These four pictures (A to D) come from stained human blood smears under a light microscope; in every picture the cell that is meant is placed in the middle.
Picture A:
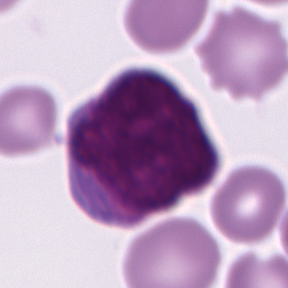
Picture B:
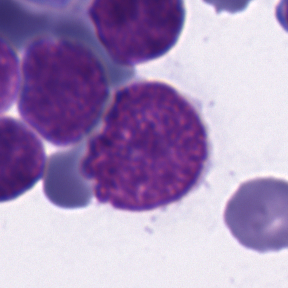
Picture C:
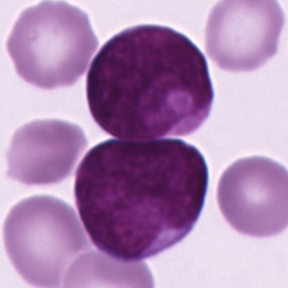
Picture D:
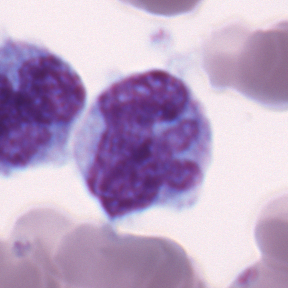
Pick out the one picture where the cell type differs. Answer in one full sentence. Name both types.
Unlike the rest, which show myeloblasts, picture D shows a monocyte.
